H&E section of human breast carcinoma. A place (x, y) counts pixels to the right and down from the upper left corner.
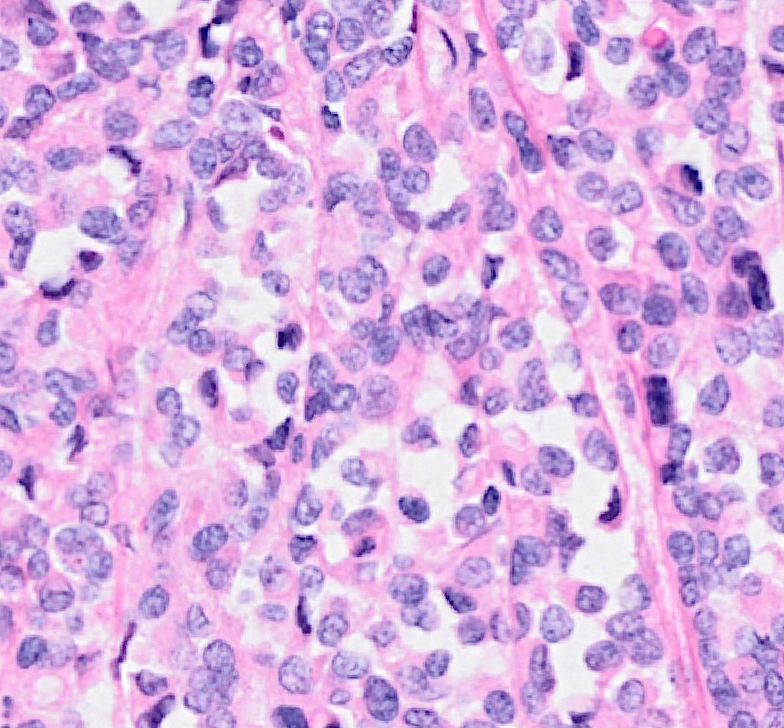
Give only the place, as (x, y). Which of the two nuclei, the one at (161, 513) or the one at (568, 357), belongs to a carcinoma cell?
(568, 357)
